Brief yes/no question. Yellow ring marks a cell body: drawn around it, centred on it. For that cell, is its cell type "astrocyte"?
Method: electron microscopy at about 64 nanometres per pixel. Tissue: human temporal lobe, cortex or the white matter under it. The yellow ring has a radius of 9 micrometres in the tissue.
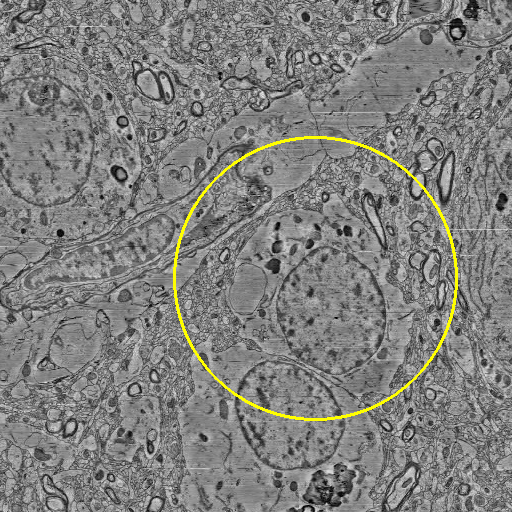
Yes, that is the cell type.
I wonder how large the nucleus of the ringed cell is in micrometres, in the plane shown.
Approximately 8 x 7 micrometres in this plane.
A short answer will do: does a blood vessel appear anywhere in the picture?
Yes, a blood vessel can be seen.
